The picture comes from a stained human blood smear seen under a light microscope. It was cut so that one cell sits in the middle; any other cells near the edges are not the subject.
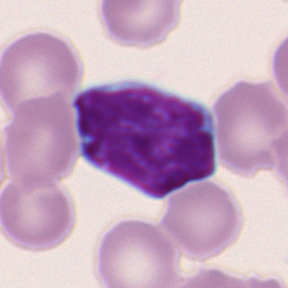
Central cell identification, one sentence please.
To answer, the cell in the center of the crop is a typical lymphocyte.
